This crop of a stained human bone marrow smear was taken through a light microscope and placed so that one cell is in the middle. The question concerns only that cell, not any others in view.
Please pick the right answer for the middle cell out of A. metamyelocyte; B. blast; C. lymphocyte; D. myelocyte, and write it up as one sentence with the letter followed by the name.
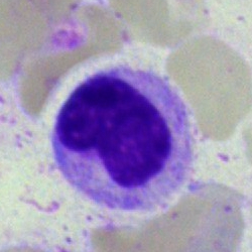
Correctly, option A names the cell in the middle a metamyelocyte.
